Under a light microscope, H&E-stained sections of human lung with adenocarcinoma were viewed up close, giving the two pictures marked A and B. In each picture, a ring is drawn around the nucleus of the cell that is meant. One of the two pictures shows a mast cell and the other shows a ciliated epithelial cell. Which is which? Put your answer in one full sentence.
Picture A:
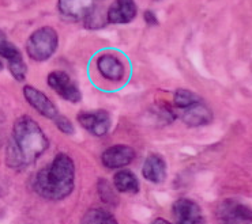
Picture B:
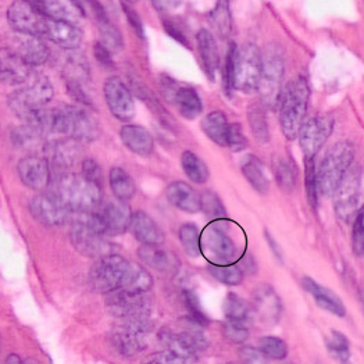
Picture A shows a mast cell and picture B shows a ciliated epithelial cell.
